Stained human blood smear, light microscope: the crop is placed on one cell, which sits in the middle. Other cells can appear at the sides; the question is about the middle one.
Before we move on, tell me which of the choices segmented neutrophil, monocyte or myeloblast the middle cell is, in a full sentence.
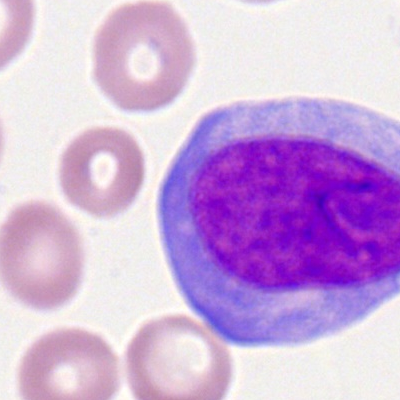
In this crop, the cell at the very middle is a myeloblast.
